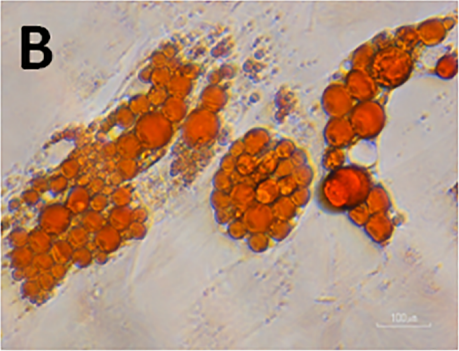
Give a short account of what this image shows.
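Adipocytes in culture, several cells packed with lipid droplets. Droplets are spherical, of widely varying size from small granules to large globules, stained intensely orange-red, and crowd each cell body so that cell outlines are formed by the droplets themselves. The loaded cells lie in elongated and rounded groups. Fine smaller red granules scatter near the clusters. Between them lie flat, pale, unstained cells with faint outlines on a light background. No nuclei are clearly made out within the loaded cells.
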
